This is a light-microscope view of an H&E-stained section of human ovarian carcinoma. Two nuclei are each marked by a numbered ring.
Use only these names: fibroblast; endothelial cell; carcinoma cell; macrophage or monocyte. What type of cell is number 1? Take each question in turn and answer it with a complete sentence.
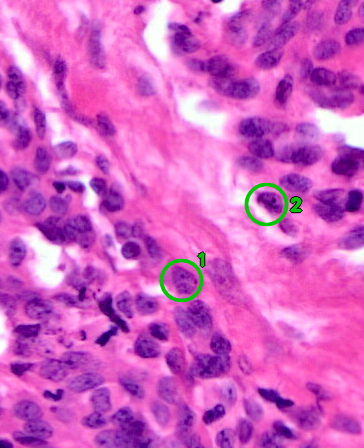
Numbered cell 1 is a carcinoma cell in this tissue section.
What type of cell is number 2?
Number 2 is placed on a macrophage or monocyte here.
